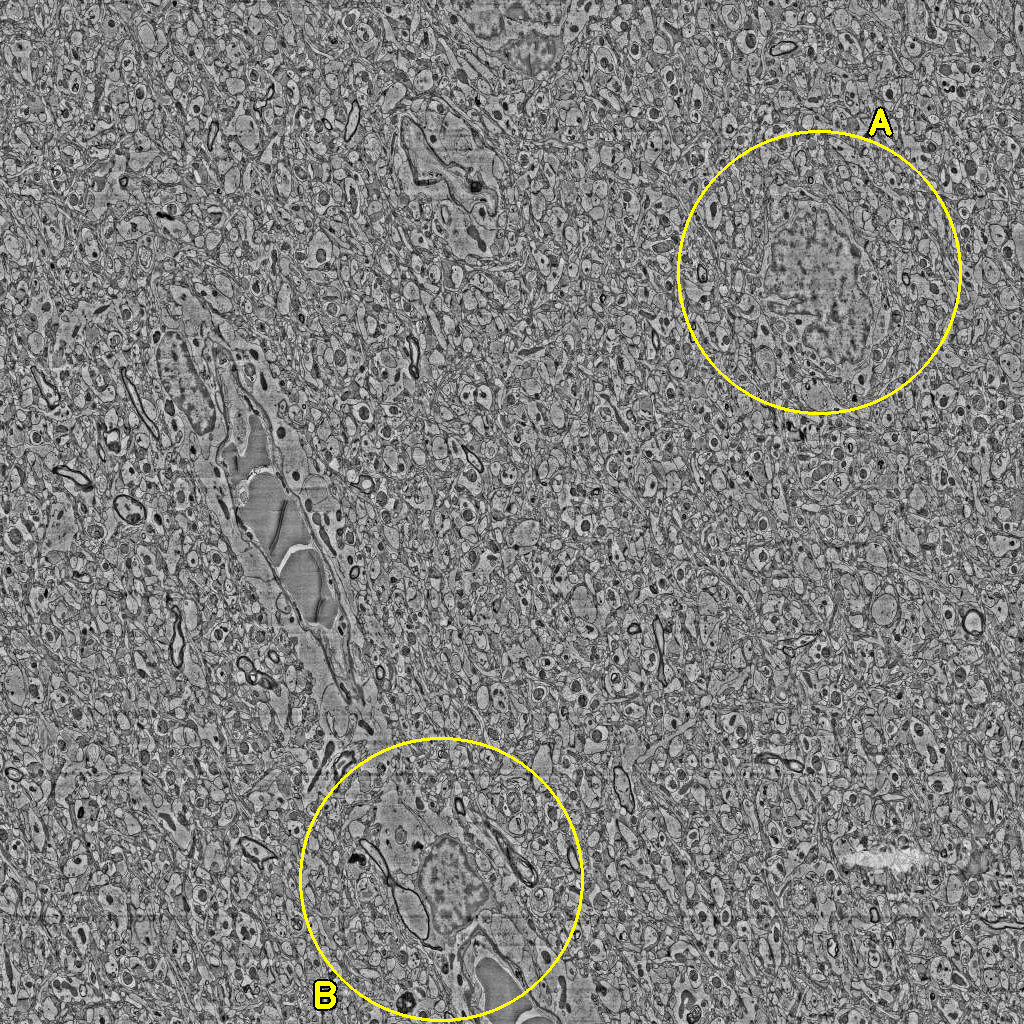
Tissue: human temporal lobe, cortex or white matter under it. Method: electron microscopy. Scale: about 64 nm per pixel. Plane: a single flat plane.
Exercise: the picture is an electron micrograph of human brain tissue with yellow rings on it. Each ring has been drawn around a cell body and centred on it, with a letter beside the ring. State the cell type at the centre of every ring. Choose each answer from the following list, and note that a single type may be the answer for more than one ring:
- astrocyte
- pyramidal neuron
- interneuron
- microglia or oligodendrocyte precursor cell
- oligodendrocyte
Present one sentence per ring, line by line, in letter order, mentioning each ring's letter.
Ring A shows an interneuron at its centre.
Ring B shows an oligodendrocyte at its centre.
